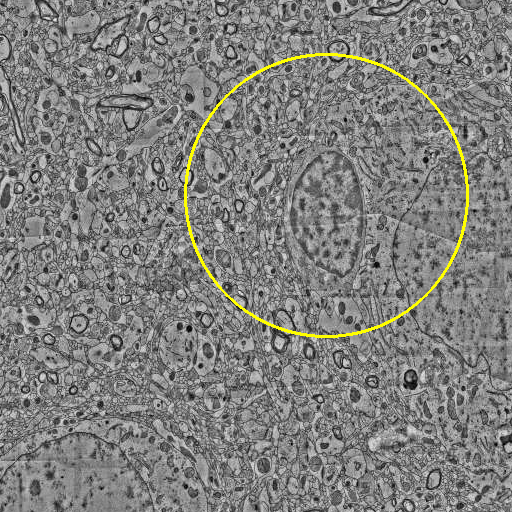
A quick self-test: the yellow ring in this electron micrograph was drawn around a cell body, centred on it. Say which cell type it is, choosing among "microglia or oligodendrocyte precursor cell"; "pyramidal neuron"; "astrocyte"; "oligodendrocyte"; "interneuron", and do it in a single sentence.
The yellow-ringed cell is an oligodendrocyte.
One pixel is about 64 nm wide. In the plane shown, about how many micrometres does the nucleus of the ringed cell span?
The nucleus is approximately 8 micrometres long but only about 5 wide, clearly longer than it is wide in this plane.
